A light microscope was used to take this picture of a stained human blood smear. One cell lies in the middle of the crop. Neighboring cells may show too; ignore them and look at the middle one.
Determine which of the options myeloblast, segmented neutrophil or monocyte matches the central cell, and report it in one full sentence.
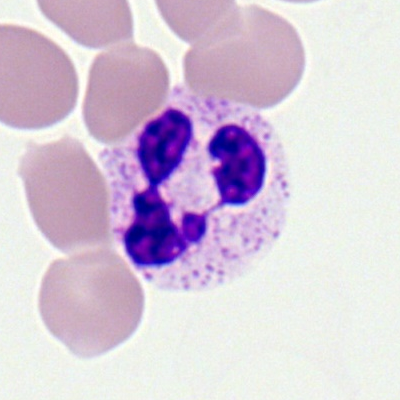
The cell nearest the centre of this crop is a segmented neutrophil.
